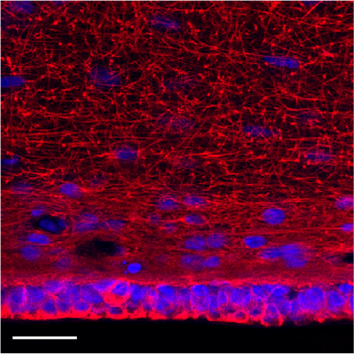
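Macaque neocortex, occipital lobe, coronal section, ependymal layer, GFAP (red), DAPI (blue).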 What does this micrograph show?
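At the bottom a single row of closely packed cuboidal cells, with round blue nuclei and red-outlined cytoplasm, borders the dark ventricular space. Above this lining lie a few scattered nuclei and then a dense meshwork of thin red fibres running mostly horizontally, parallel to the ventricular surface, with a finer interwoven network among them. Few nuclei are present in the fibrous zone compared with the crowded lining row.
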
